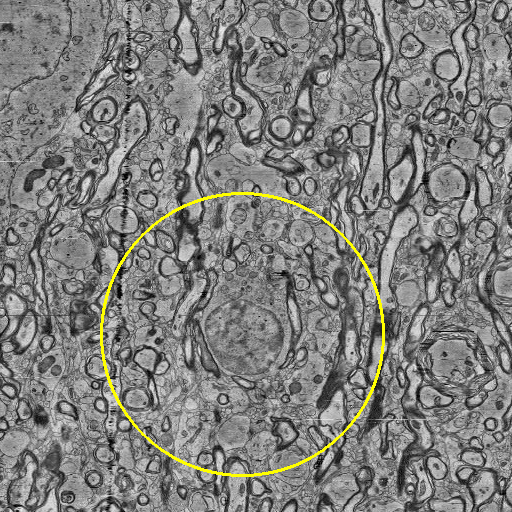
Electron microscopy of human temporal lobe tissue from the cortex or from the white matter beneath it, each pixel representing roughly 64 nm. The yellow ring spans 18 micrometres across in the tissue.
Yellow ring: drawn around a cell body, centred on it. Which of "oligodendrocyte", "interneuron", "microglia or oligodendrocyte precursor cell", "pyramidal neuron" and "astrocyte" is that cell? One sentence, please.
That cell body is from an oligodendrocyte.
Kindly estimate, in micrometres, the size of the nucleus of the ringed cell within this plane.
Approximately 5 micrometres across in this plane.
